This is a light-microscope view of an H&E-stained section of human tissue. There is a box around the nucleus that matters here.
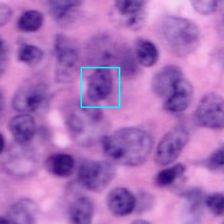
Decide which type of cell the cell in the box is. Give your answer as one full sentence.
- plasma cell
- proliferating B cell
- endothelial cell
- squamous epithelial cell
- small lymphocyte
It is as a proliferating B cell that the cell in the box is classified.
